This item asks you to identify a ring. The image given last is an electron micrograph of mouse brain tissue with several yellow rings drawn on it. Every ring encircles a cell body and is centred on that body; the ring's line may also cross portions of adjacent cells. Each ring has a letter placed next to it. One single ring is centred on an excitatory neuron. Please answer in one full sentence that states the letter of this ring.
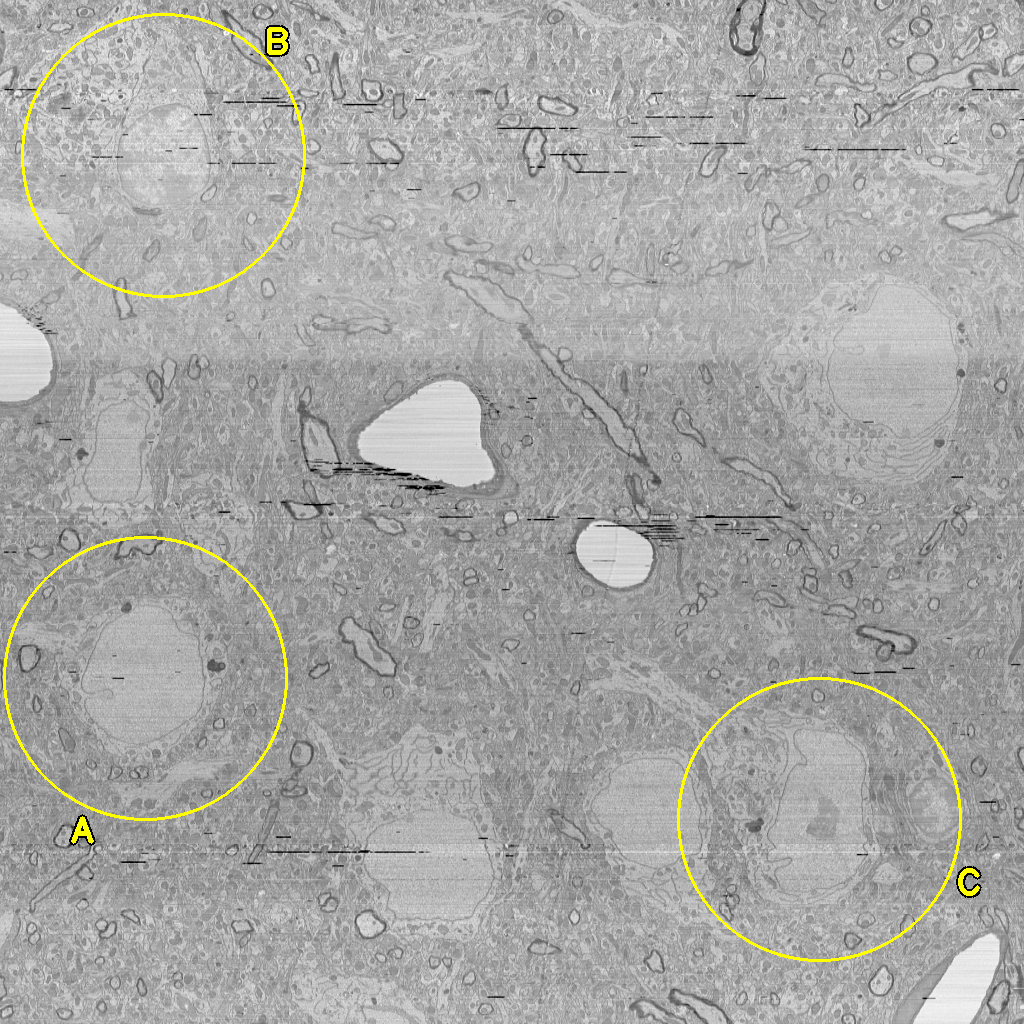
My answer is letter A, the ring centred on the cell asked for.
